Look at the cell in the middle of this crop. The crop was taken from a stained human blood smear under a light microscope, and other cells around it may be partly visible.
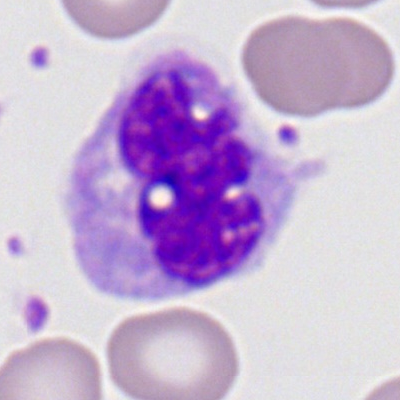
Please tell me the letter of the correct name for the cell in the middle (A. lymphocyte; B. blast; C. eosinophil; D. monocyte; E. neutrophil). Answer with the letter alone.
D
